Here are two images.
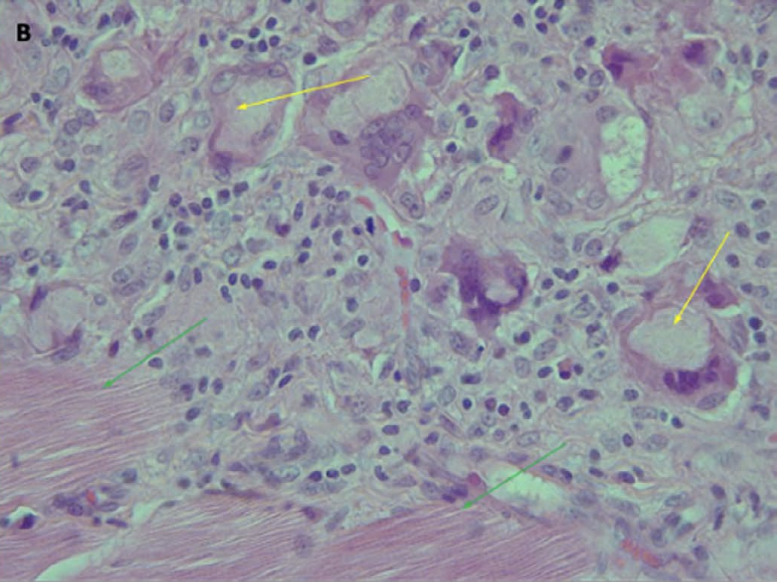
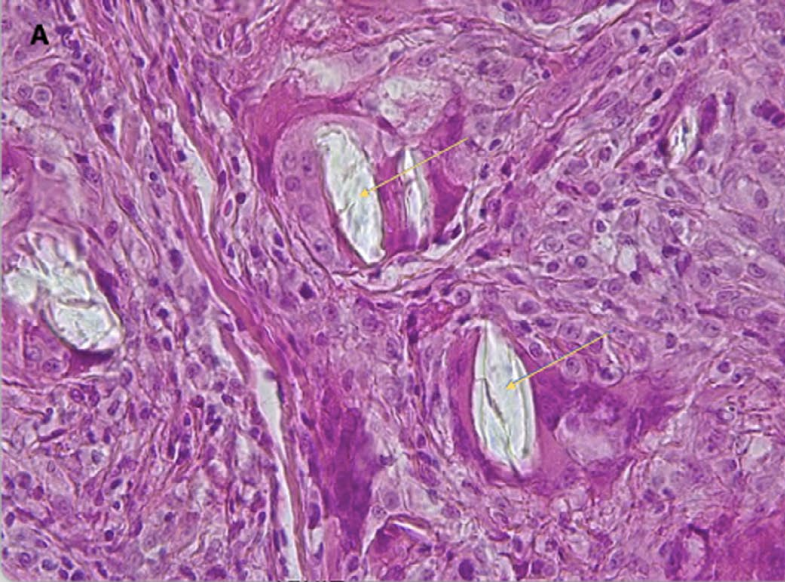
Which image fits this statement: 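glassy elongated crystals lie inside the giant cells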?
The second image.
